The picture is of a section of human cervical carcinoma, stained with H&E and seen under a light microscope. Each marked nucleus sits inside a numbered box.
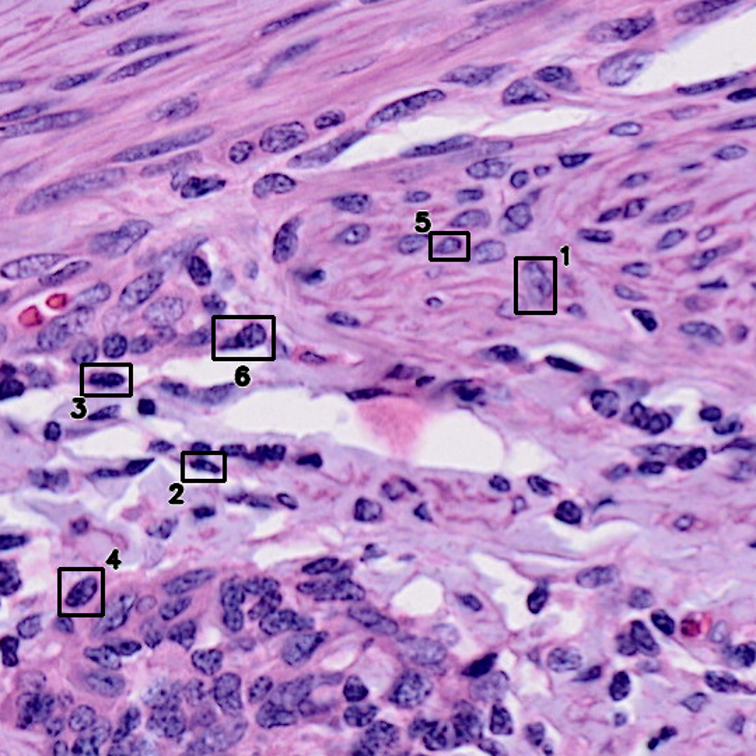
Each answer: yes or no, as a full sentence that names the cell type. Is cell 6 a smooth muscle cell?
No, a lymphocyte, not a smooth muscle cell, is the cell with number 6.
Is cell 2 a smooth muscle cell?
No, it's not a smooth muscle cell at number 2; that cell is a lymphocyte.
